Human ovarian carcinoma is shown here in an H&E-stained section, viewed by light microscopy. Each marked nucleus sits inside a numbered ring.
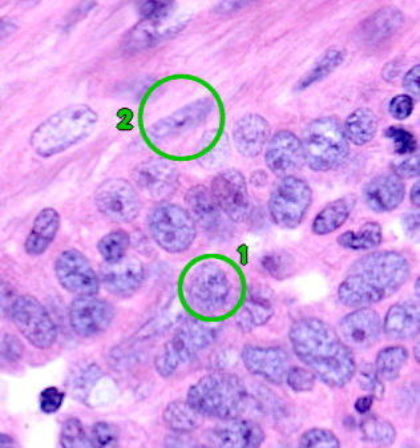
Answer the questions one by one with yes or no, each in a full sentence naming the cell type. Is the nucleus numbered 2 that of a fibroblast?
Yes, the cell shown as number 2 is a fibroblast.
